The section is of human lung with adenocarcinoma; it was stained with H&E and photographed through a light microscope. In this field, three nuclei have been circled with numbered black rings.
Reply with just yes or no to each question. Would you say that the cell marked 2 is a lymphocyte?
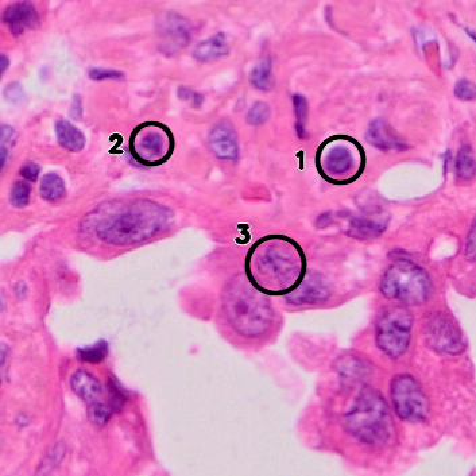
yes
